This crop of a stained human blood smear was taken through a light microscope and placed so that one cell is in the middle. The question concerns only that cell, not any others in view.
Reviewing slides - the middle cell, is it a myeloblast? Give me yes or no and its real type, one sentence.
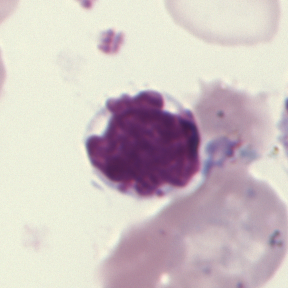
No, the central cell is a typical lymphocyte; it should not be labelled a myeloblast.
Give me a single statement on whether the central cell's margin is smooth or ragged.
Worth noting that the cell border is smooth and lacks projections.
